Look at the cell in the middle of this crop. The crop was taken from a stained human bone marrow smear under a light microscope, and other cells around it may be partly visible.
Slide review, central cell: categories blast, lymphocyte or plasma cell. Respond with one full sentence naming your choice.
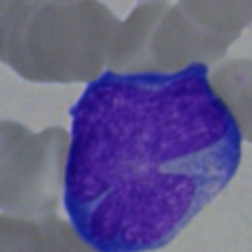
The central cell shown in this smear crop is a blast.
